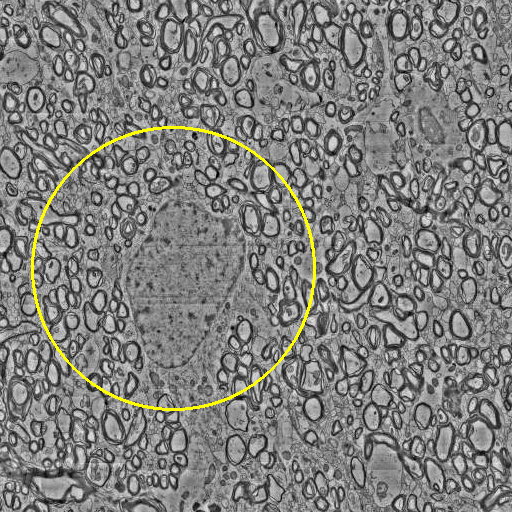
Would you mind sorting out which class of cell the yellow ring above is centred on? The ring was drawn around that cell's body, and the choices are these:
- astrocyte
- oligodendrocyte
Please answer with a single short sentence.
This is the cell body of an astrocyte.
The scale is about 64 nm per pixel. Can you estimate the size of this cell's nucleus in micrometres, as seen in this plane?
Approximately 11 x 7 micrometres in this plane.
